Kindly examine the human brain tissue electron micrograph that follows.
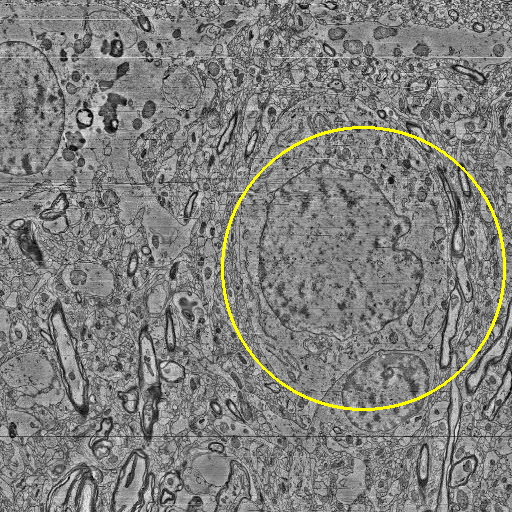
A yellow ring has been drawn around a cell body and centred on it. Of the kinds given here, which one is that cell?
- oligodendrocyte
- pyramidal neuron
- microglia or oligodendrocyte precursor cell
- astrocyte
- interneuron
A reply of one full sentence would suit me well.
The micrograph's ringed cell, the one at the ring's centre, is a pyramidal neuron.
